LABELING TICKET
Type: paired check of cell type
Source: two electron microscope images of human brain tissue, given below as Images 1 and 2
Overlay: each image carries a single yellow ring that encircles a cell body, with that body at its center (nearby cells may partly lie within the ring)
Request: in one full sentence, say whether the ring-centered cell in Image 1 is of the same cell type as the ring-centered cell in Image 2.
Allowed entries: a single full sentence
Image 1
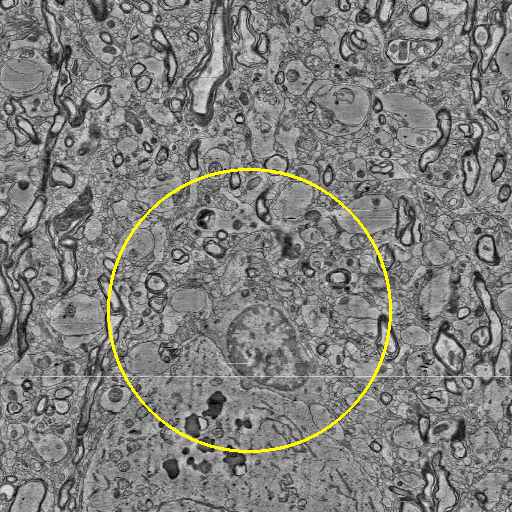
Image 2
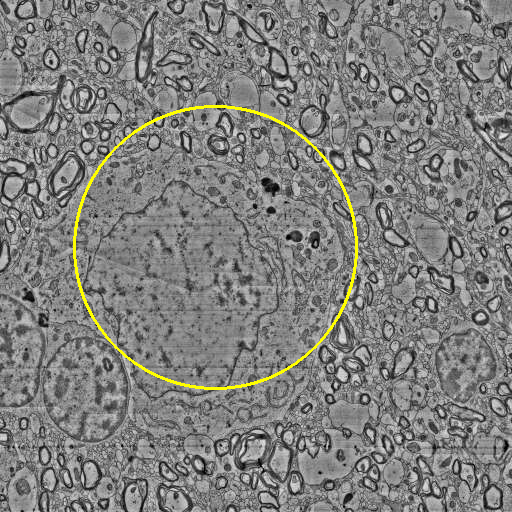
No, the cells centered in the rings of Image 1 and Image 2 are of two types.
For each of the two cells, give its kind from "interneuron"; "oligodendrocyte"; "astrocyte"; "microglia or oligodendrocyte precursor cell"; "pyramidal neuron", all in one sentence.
The first picture has an oligodendrocyte in its ring, the second has an interneuron.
